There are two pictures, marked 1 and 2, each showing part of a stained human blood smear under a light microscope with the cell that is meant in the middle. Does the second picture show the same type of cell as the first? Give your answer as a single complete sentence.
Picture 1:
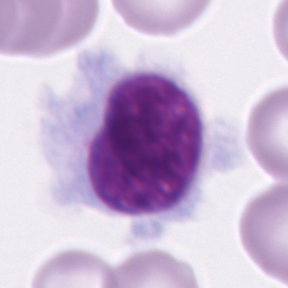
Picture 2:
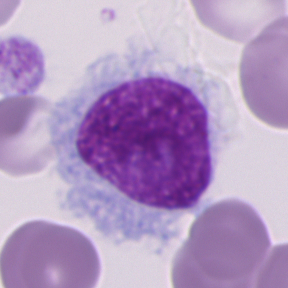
Yes, the two pictures both show hairy cells.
